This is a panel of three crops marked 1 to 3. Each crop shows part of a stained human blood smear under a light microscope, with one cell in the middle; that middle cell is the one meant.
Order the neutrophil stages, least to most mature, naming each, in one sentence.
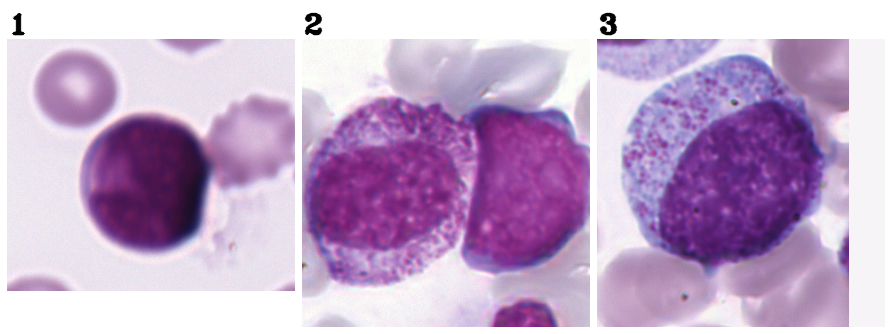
From least to most mature, the order is crop 1 (a myeloblast), crop 3 (a promyelocyte) and crop 2 (a myelocyte).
